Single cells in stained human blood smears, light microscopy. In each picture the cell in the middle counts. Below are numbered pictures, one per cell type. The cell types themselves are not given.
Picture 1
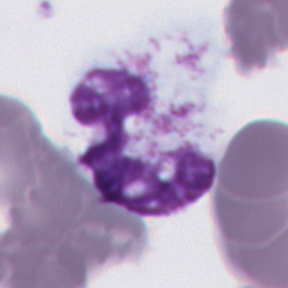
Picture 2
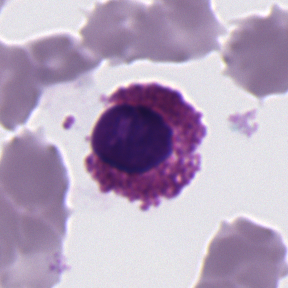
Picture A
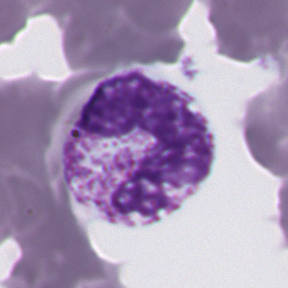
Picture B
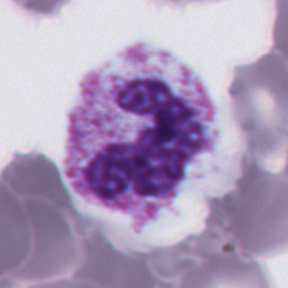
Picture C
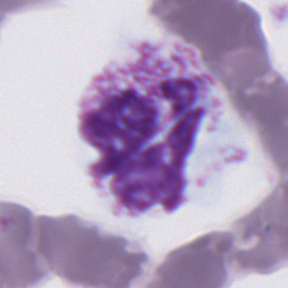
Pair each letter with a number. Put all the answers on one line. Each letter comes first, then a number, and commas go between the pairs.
A 1, B 1, C 1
